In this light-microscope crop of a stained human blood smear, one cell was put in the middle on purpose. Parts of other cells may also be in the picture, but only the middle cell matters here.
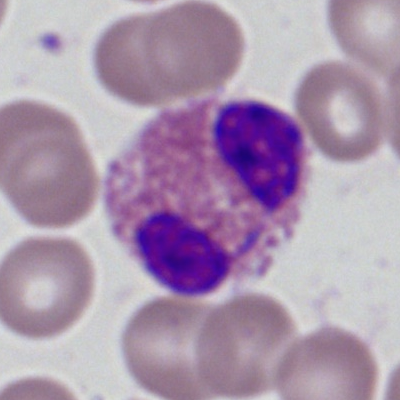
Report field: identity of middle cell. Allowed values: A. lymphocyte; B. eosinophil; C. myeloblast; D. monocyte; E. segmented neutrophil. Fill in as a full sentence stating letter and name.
The one to choose is option B, as the cell in the middle is an eosinophil.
